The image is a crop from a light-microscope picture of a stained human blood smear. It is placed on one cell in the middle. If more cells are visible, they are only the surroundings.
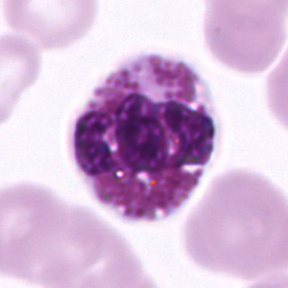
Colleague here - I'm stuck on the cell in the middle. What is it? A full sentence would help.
The identification for the central cell is an eosinophil.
